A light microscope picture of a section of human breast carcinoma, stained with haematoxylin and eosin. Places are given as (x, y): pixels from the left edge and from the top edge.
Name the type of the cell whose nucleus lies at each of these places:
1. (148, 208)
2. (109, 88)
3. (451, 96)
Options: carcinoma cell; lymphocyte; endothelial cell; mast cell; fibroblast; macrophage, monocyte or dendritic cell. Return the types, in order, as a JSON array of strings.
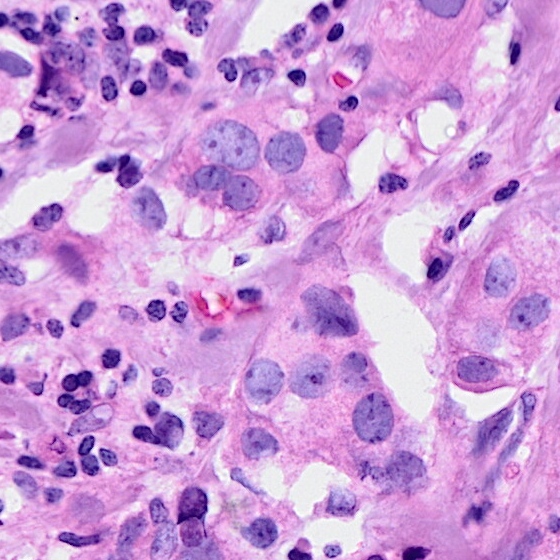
["carcinoma cell", "lymphocyte", "fibroblast"]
